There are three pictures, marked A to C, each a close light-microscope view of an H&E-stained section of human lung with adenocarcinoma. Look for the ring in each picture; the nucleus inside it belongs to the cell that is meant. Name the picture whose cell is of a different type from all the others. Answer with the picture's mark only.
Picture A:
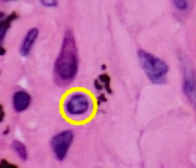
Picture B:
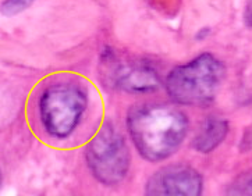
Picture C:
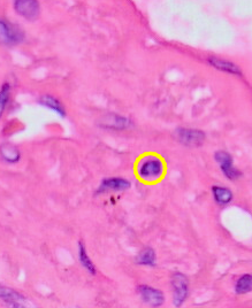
B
